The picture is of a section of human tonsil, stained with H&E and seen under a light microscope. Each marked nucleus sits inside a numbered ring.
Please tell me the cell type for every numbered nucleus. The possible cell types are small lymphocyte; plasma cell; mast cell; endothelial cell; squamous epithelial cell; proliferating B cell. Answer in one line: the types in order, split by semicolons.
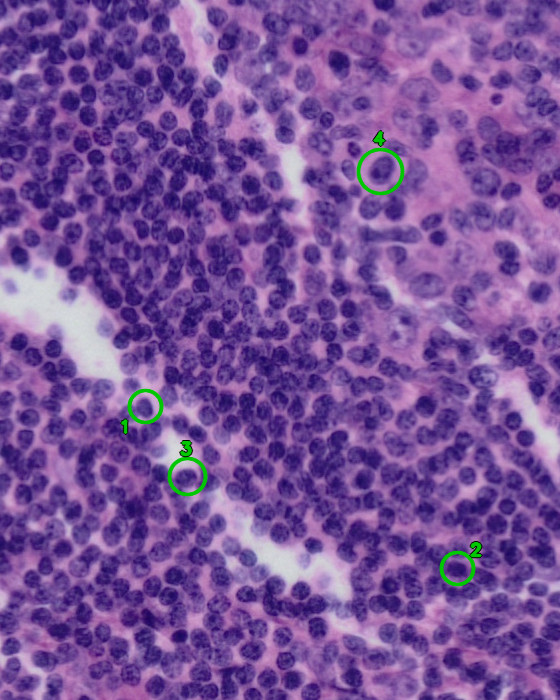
small lymphocyte; small lymphocyte; small lymphocyte; proliferating B cell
